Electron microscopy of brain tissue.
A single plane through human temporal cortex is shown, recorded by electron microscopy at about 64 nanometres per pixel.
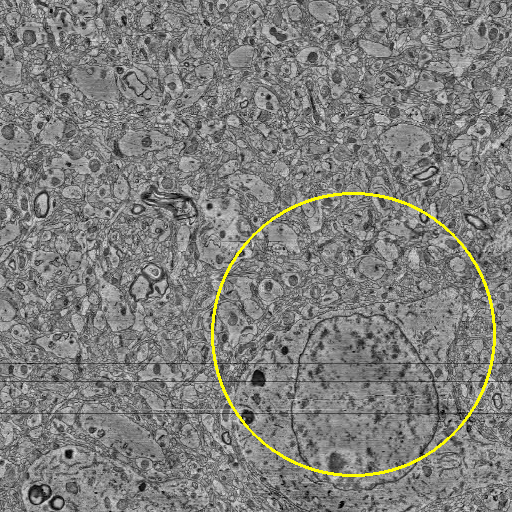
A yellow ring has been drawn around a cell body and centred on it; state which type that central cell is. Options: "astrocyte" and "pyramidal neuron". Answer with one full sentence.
The cell at the middle of the yellow ring is a pyramidal neuron in this picture.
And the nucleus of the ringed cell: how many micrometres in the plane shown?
The nucleus of the ringed cell is approximately 12 by 10 micrometres in this plane.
